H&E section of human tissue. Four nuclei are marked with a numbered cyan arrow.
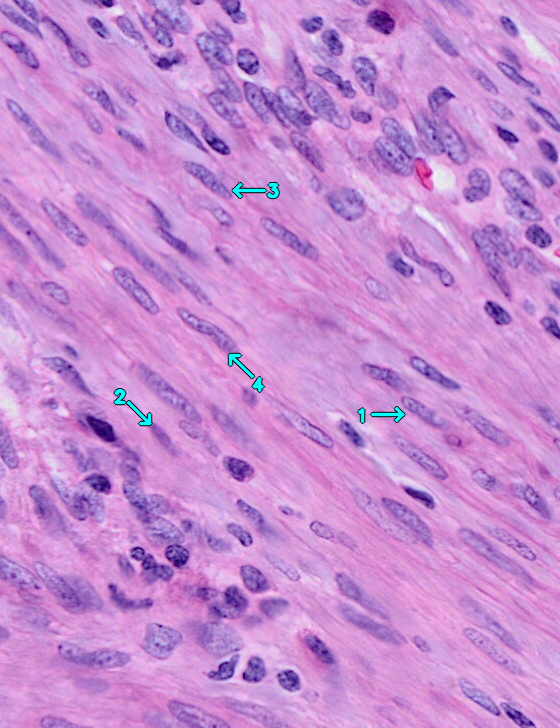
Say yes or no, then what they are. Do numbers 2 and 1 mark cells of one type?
No, cell 2 is a fibroblast and cell 1 is a smooth muscle cell.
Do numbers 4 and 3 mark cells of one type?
Yes, both are smooth muscle cells.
